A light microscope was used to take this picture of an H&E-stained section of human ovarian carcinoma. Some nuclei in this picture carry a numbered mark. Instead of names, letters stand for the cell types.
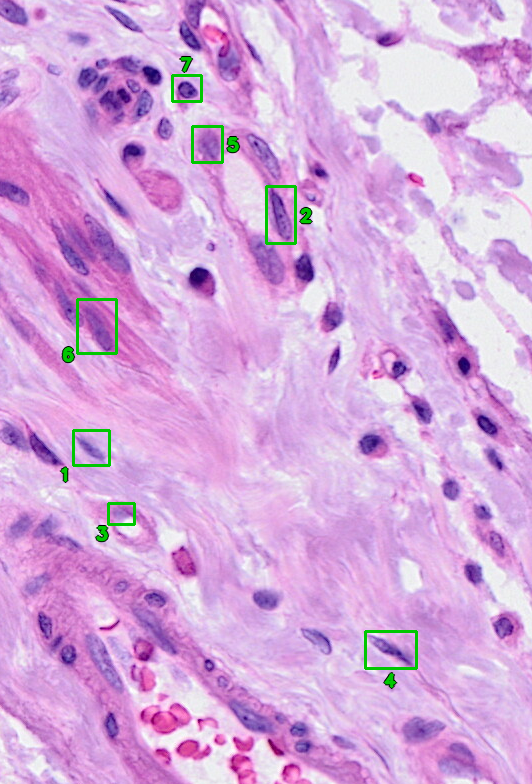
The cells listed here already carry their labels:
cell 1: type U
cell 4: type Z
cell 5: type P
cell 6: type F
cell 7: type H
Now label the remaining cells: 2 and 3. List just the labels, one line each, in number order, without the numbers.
type P
type P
